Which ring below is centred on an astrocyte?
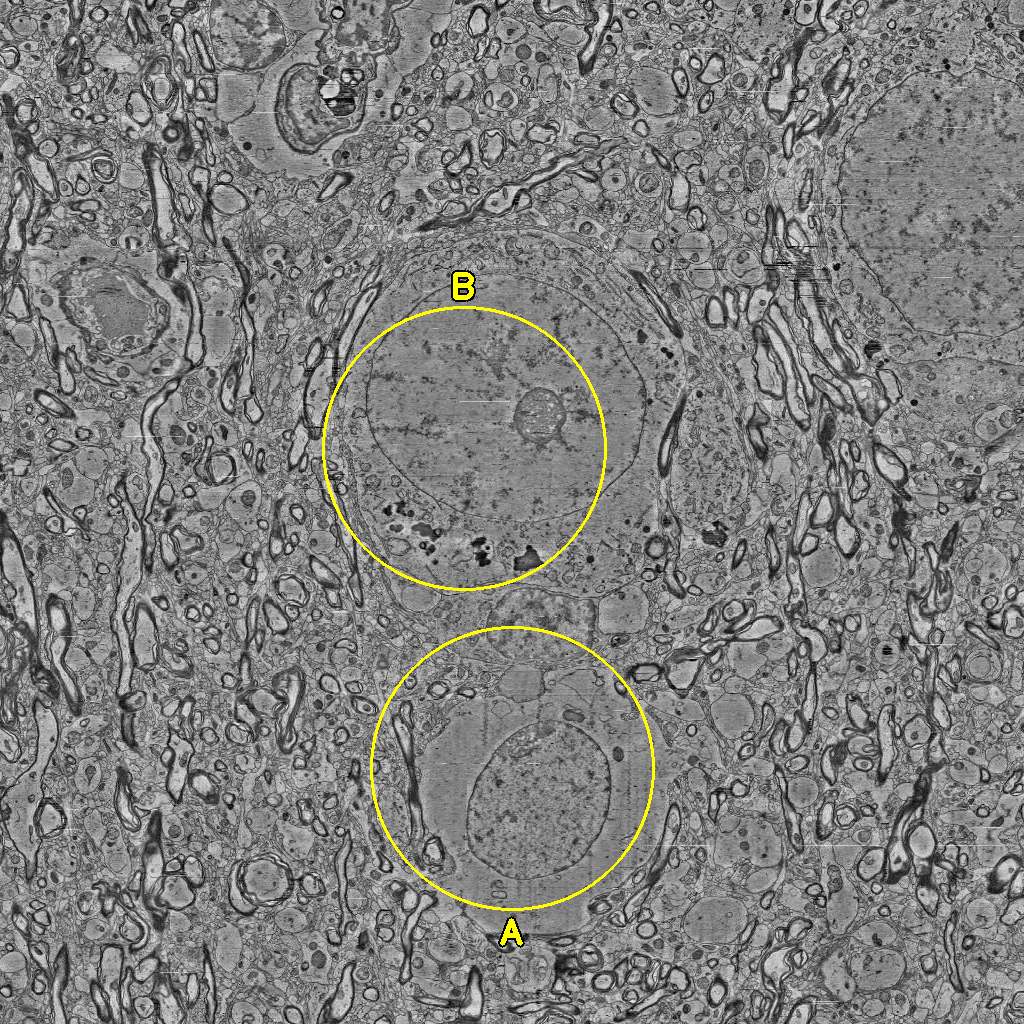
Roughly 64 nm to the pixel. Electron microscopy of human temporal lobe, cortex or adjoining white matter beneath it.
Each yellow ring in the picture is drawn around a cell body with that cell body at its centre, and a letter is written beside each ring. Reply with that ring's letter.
A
